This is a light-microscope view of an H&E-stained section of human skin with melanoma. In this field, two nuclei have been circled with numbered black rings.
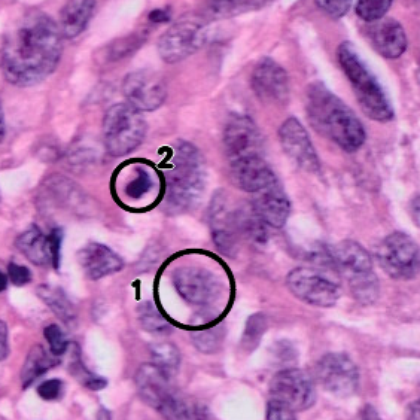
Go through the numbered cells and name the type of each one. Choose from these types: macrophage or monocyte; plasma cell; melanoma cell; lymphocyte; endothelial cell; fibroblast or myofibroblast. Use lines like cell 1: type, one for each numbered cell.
cell 1: melanoma cell
cell 2: lymphocyte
